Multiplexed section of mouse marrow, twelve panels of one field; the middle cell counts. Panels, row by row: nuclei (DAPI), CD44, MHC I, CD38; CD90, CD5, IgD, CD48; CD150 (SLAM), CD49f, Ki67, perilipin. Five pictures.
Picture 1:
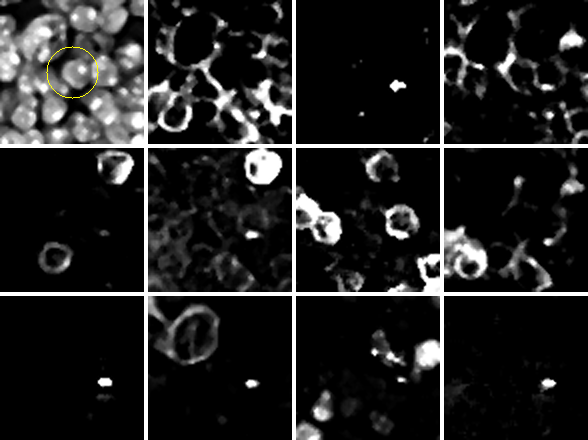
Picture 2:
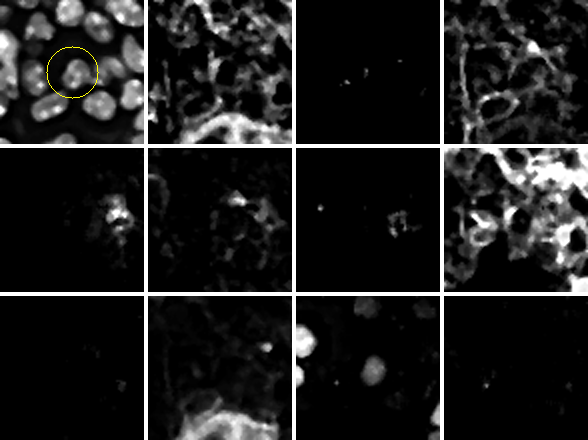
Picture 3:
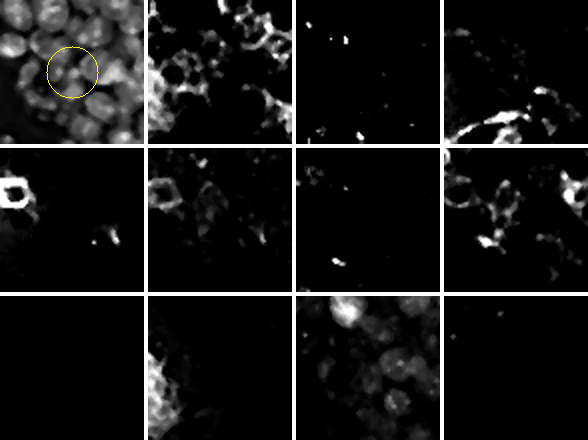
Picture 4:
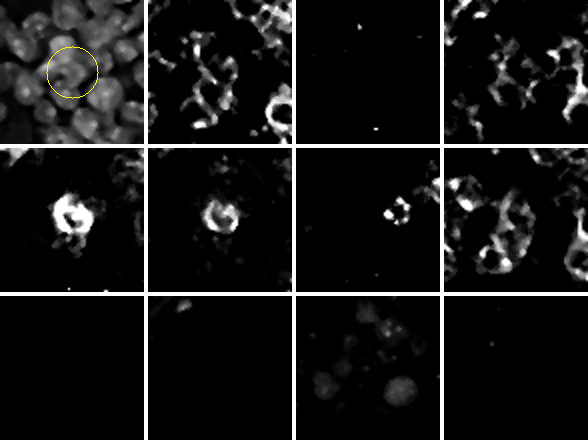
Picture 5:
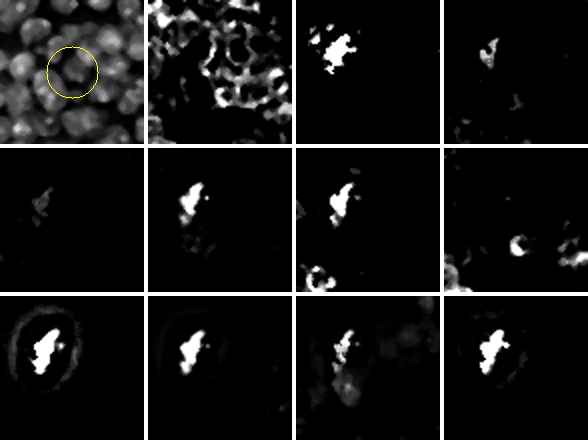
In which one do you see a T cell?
In picture 4.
